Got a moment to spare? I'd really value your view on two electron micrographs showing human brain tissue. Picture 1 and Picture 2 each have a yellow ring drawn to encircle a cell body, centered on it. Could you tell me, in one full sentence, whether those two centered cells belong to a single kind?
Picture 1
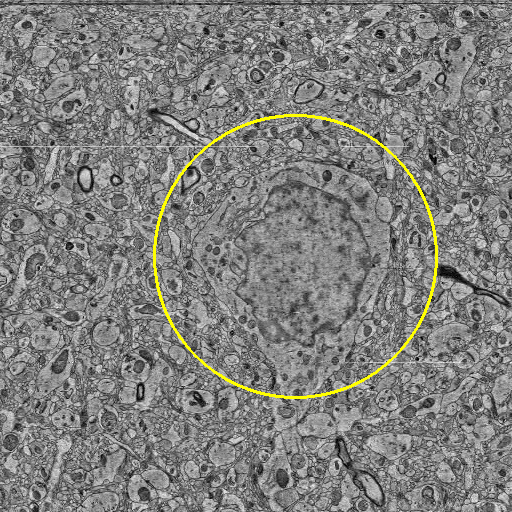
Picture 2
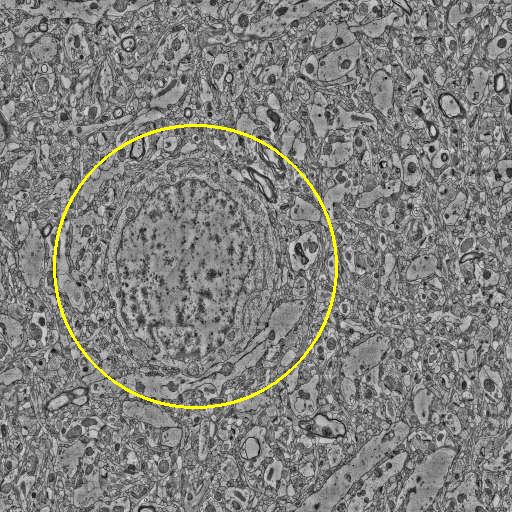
Yes, the two centered cells in Picture 1 and Picture 2 are of a single kind.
